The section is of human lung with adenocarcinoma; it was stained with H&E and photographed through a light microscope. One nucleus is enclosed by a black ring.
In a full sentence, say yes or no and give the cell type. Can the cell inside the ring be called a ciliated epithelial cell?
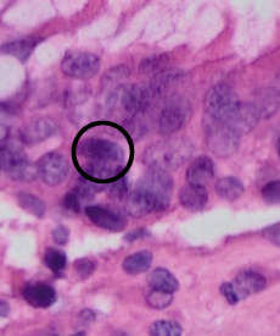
Yes, the cell inside the ring in this section represents a ciliated epithelial cell.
